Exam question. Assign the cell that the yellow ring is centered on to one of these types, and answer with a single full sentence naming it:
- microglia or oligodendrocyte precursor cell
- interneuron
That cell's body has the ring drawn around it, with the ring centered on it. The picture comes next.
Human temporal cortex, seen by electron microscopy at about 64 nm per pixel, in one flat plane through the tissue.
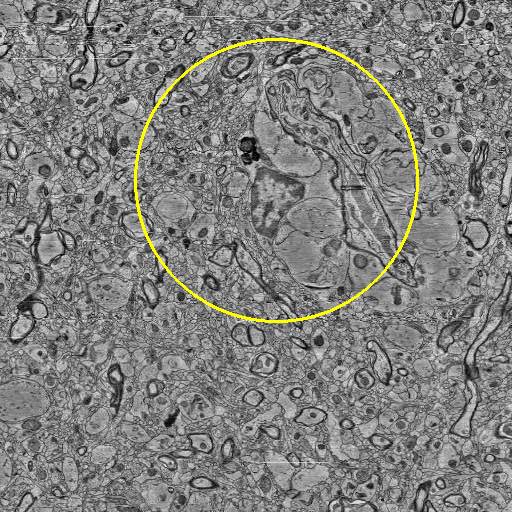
In the micrograph, the cell the yellow ring is centered on is a microglial cell or oligodendrocyte precursor cell.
